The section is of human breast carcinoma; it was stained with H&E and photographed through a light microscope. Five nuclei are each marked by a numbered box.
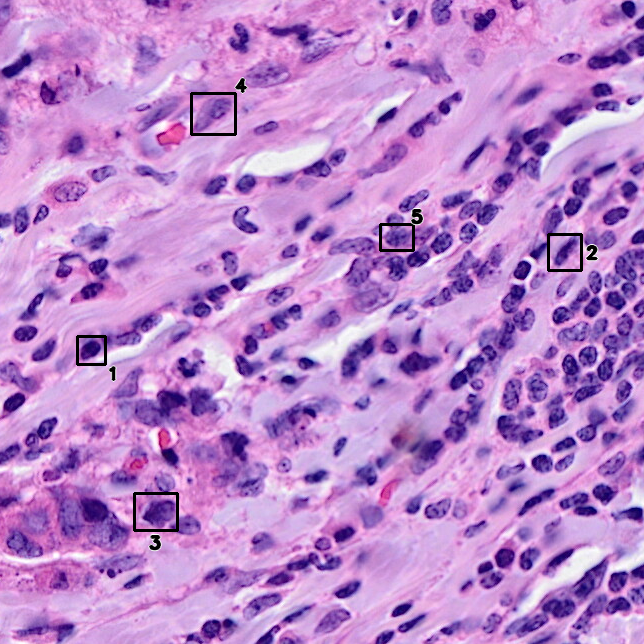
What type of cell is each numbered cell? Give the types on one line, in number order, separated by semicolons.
lymphocyte; lymphocyte; carcinoma cell; endothelial cell; lymphocyte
